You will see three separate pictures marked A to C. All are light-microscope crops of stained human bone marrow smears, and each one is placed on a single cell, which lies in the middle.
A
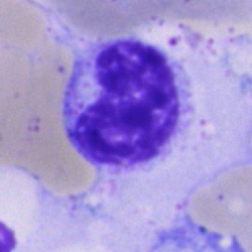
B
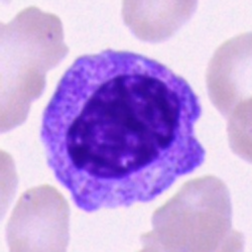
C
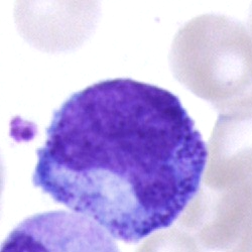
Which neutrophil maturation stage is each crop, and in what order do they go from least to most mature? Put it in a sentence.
The least to most mature sequence reads crop C (a promyelocyte), crop B (a myelocyte) and crop A (a metamyelocyte).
